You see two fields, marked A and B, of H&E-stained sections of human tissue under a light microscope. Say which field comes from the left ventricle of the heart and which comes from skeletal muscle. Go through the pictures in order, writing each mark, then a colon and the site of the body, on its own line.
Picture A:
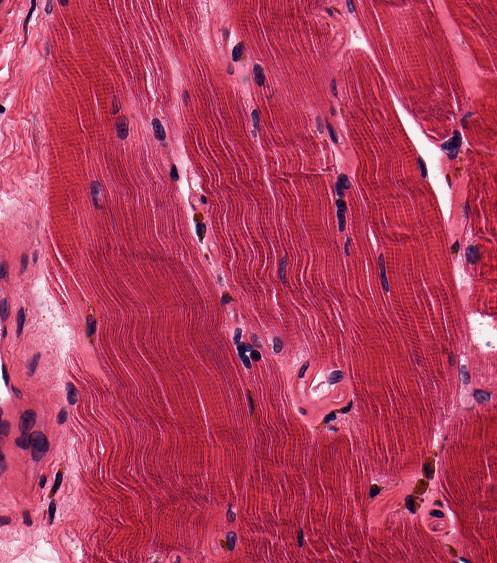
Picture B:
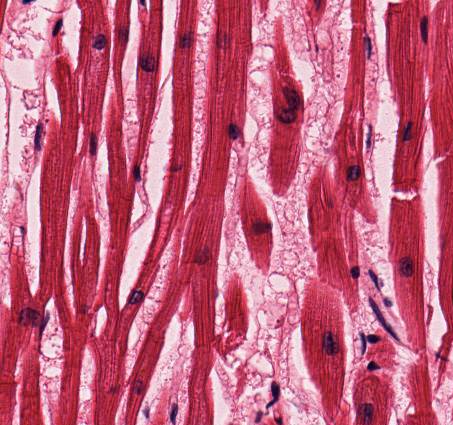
A: skeletal muscle
B: left ventricle of the heart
